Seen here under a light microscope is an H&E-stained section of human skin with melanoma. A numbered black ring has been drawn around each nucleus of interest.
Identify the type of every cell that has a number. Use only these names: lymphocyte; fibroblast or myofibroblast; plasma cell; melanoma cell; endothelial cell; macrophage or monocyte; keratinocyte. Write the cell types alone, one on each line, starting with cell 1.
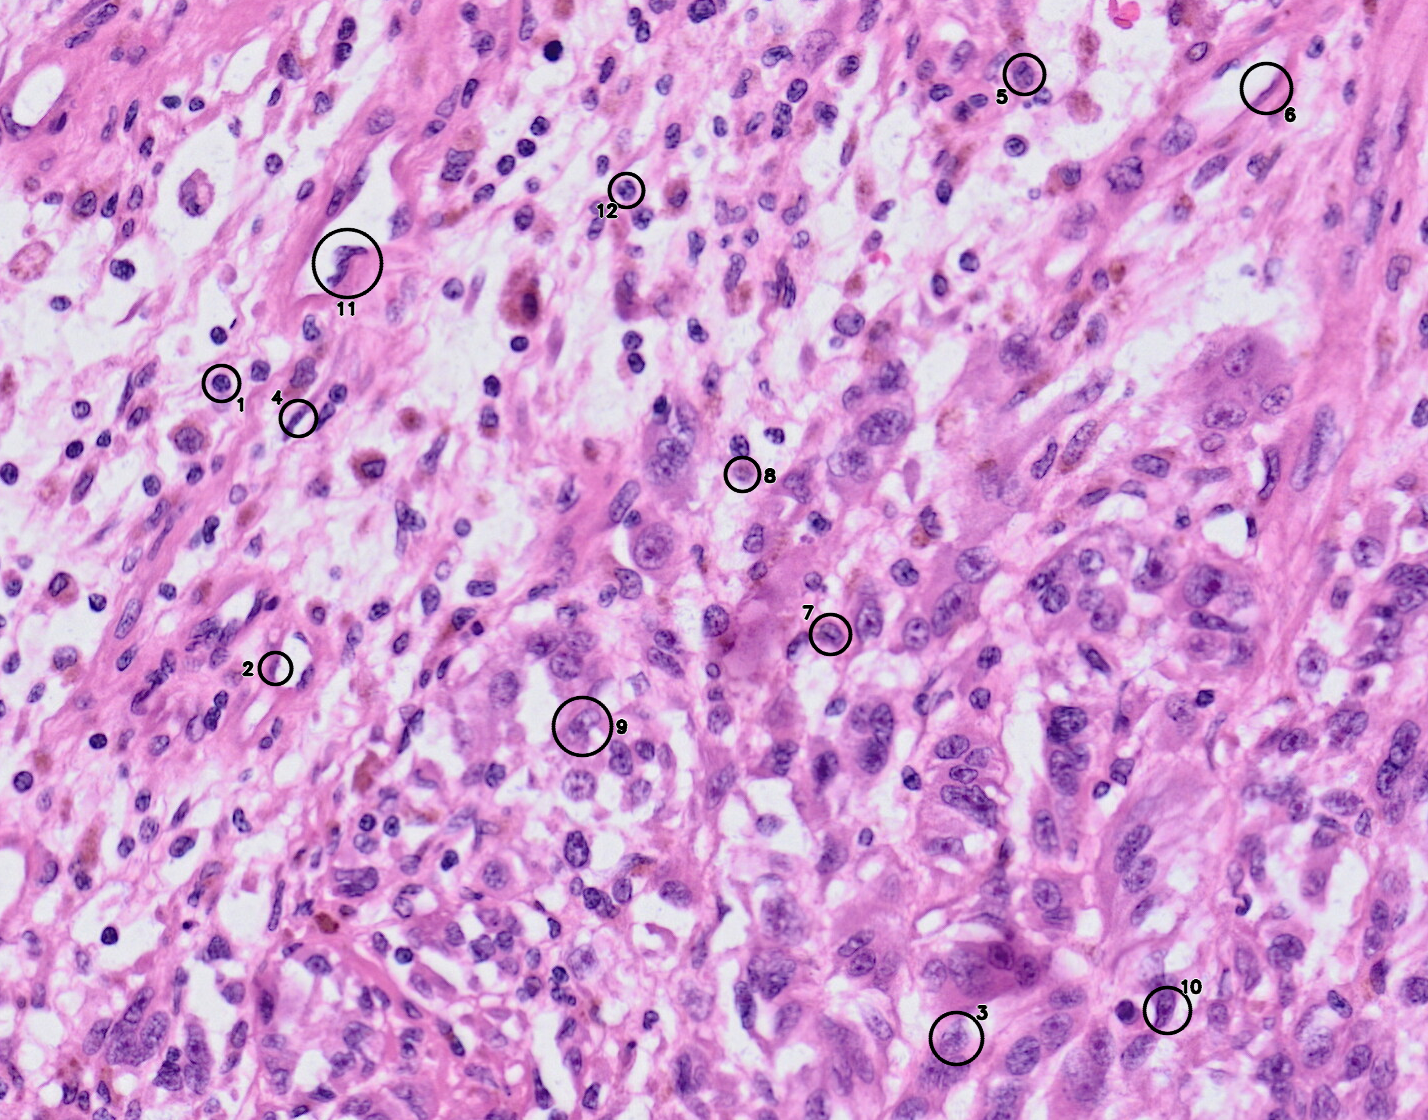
lymphocyte
endothelial cell
melanoma cell
fibroblast or myofibroblast
macrophage or monocyte
endothelial cell
macrophage or monocyte
macrophage or monocyte
melanoma cell
melanoma cell
endothelial cell
lymphocyte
